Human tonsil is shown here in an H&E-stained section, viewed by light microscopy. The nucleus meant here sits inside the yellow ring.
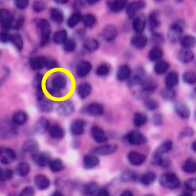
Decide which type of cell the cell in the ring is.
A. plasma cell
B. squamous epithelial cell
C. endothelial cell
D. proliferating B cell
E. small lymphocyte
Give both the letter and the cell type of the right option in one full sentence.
Option E is the right choice, for the cell in the ring is a small lymphocyte.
